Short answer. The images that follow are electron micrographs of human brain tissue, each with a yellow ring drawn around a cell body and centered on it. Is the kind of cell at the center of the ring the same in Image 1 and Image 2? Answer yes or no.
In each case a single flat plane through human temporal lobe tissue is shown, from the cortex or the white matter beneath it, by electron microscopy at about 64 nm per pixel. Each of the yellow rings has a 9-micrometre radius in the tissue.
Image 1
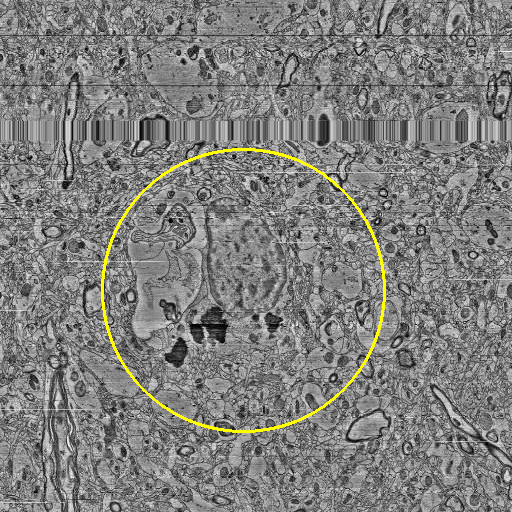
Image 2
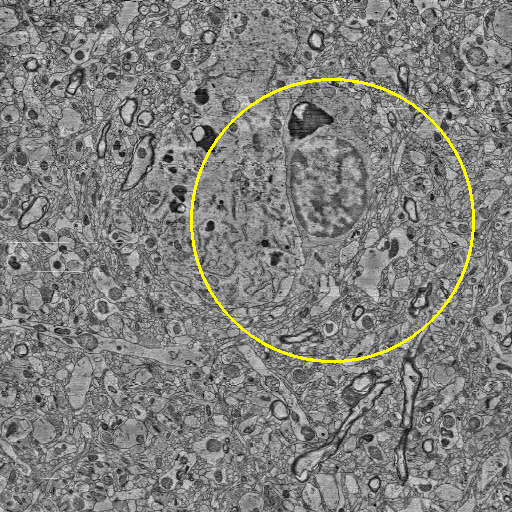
yes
